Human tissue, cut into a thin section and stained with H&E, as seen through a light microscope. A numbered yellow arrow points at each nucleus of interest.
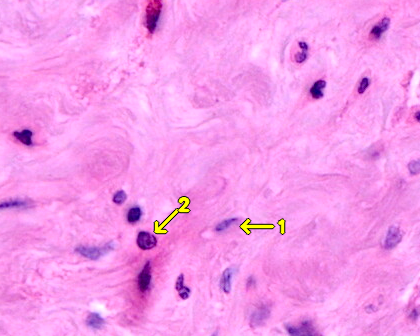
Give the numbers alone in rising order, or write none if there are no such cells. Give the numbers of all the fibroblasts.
1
